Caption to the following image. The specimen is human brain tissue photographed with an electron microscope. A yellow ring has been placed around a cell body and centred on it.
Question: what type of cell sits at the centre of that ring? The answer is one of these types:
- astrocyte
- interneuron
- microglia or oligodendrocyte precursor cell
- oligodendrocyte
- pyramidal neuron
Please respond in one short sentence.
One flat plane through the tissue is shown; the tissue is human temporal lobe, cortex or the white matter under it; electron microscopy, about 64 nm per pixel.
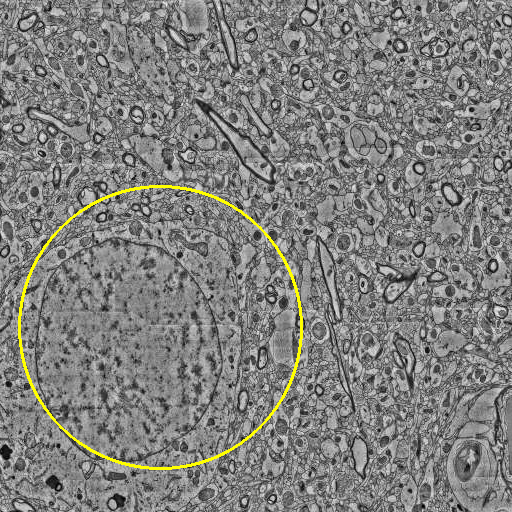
The ring surrounds the cell body of a pyramidal neuron.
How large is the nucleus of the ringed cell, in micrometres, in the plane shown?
The nucleus of the ringed cell is approximately 14 by 12 micrometres in this plane.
